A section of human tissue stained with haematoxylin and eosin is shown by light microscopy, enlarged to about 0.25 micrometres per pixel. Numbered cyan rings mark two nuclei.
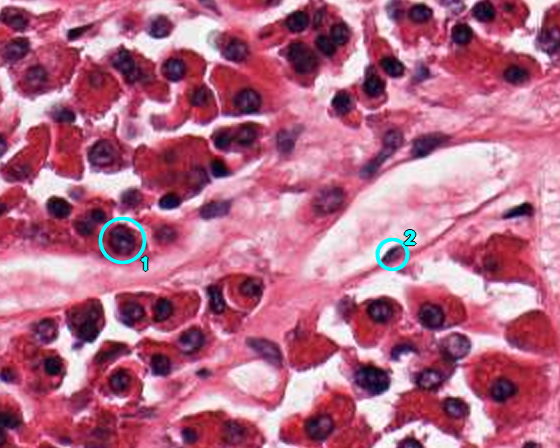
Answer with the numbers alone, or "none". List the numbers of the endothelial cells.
2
